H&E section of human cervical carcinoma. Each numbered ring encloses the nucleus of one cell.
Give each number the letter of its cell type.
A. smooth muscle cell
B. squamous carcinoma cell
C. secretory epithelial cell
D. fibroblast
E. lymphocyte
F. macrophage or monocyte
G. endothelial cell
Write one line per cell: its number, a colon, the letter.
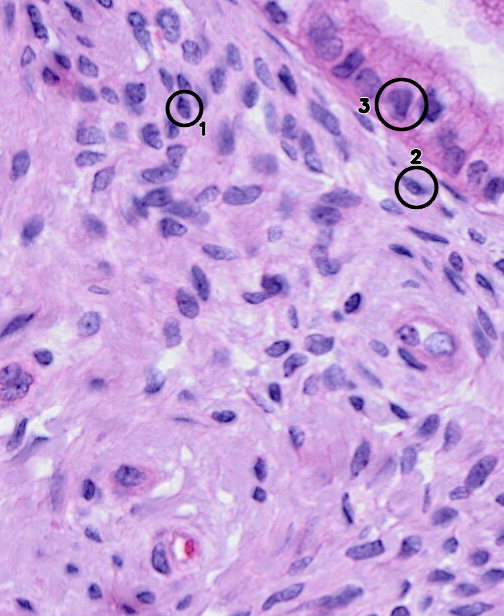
1: D
2: D
3: C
